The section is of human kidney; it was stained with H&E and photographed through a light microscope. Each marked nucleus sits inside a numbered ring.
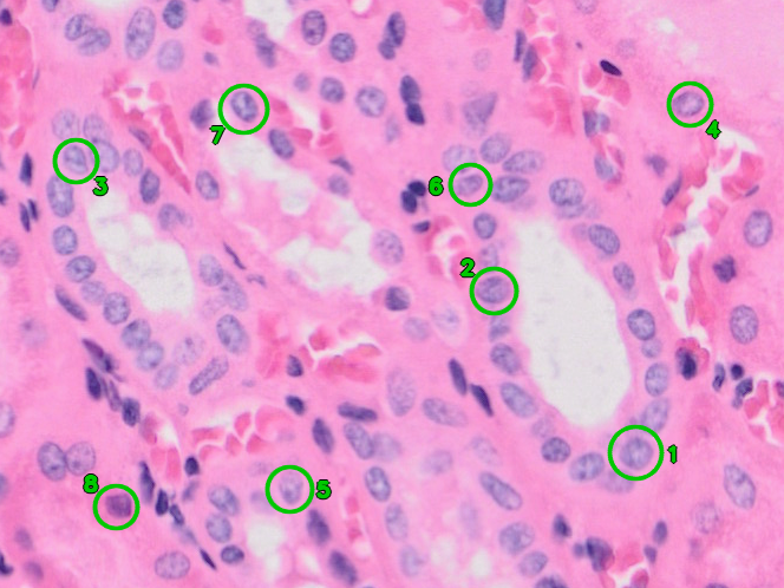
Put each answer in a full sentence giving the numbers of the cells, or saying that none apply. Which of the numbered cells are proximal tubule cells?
The cells carrying labels 4 and 8 are proximal tubule cells.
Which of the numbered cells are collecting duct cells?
The cells picked out by numbers 1, 2, 3, 5 and 6 are collecting duct cells.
